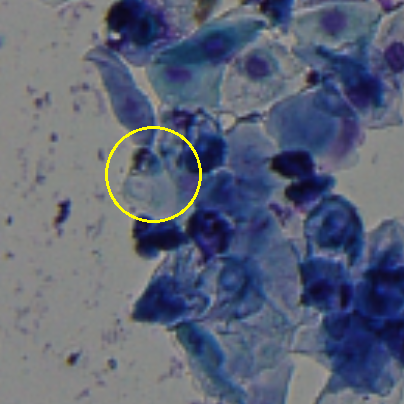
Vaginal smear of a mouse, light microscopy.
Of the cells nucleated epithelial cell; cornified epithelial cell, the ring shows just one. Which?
The ring shows a cornified epithelial cell.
